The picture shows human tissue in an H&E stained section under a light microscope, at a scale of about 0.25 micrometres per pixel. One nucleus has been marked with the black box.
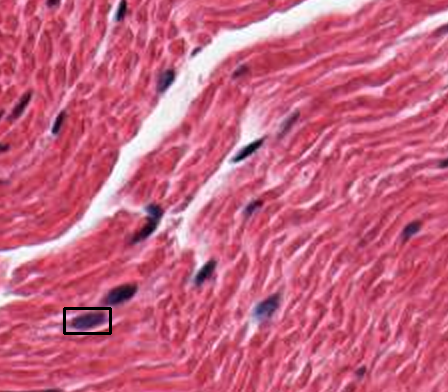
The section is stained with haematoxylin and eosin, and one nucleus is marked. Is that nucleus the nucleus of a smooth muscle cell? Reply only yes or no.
yes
